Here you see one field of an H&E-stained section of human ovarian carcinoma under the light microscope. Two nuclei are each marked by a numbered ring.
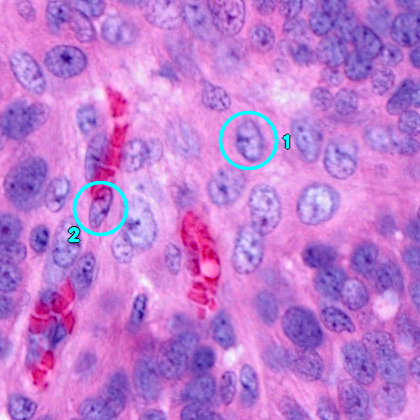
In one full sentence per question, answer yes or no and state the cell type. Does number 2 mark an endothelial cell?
Yes, for number 2, the cell is an endothelial cell.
